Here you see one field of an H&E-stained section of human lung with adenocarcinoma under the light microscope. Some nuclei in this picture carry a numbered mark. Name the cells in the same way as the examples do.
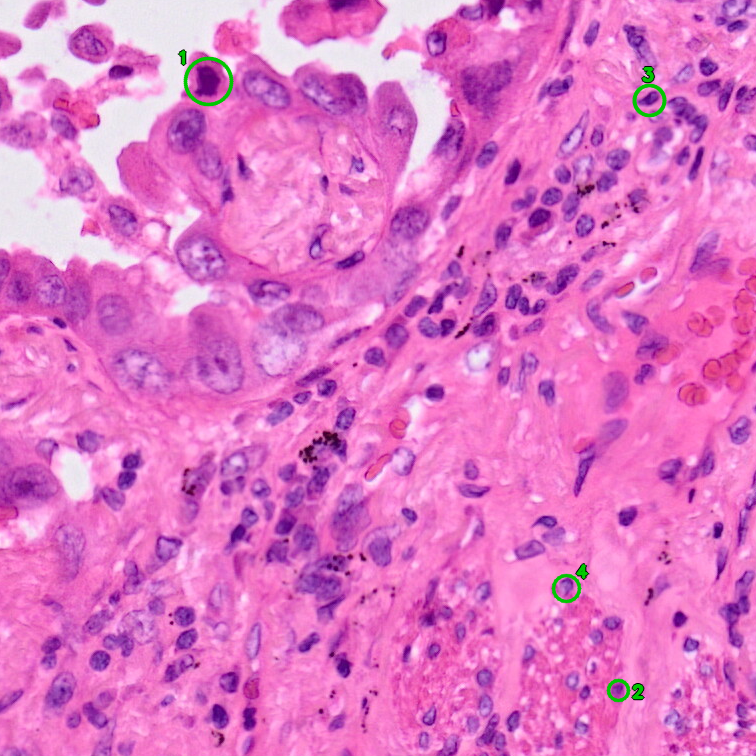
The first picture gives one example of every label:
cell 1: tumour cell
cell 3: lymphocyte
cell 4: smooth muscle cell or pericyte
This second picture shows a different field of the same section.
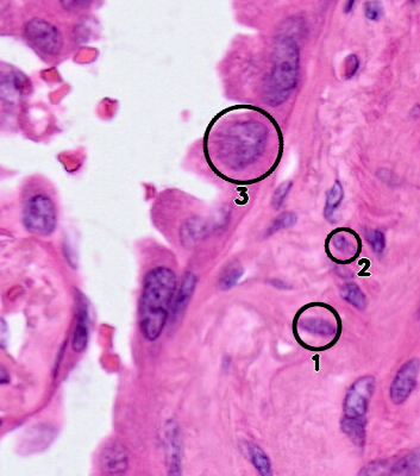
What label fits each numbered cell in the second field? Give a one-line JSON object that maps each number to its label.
{"1": "smooth muscle cell or pericyte", "2": "smooth muscle cell or pericyte", "3": "tumour cell"}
